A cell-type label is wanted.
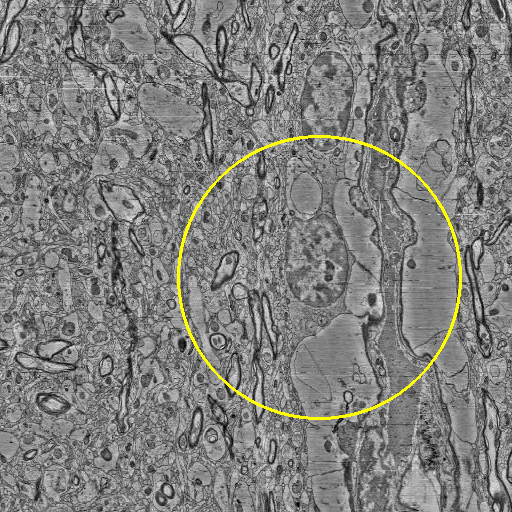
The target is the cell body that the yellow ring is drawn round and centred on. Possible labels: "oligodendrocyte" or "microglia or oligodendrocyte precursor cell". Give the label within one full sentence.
Of the labels offered, the cell in the middle of the yellow ring is an oligodendrocyte.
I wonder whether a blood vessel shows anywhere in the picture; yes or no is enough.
Yes, the picture includes a blood vessel.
